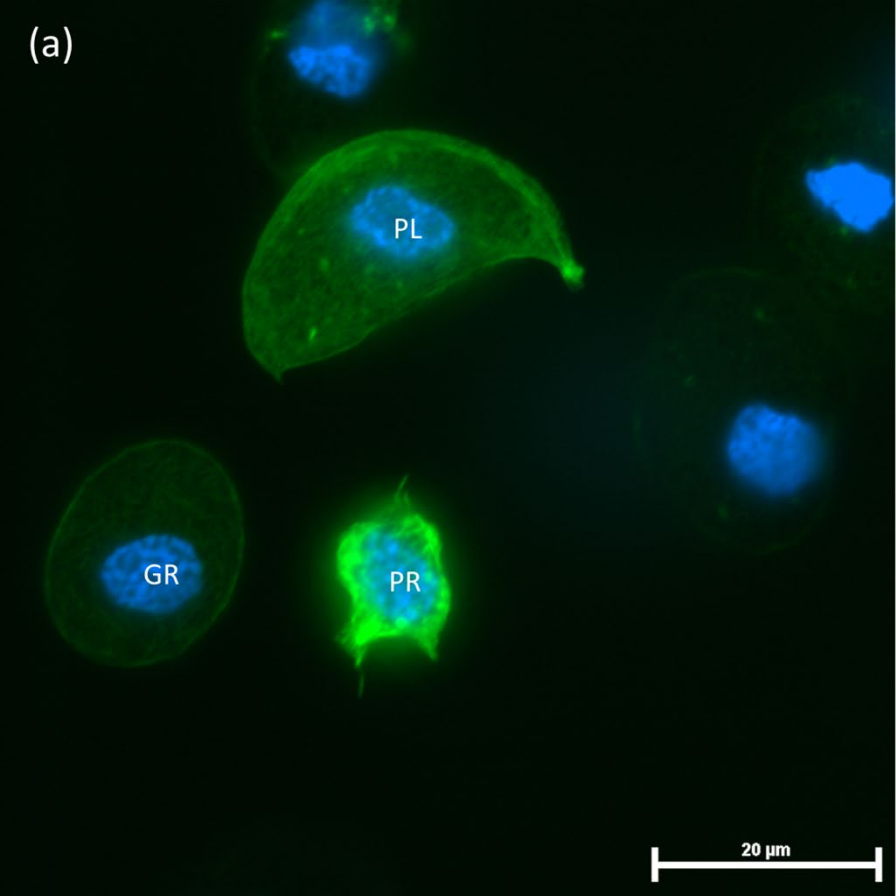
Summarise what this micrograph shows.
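Scattered, separate blood cells of an insect lie spread on the slide, each with a single blue oval nucleus. One is a broad, flattened, fan- or crescent-shaped cell with a thin green rim, faint internal filaments and a drawn-out pointed corner: a plasmatocyte. Another is an oval, evenly flattened cell with a fine green outline and a central nucleus: a granulocyte. A smaller, compact cell is intensely green throughout, with little cytoplasm around its nucleus and short spiky projections at its edges: a prohemocyte. Further cells show bright nuclei but only faint green outlines.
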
